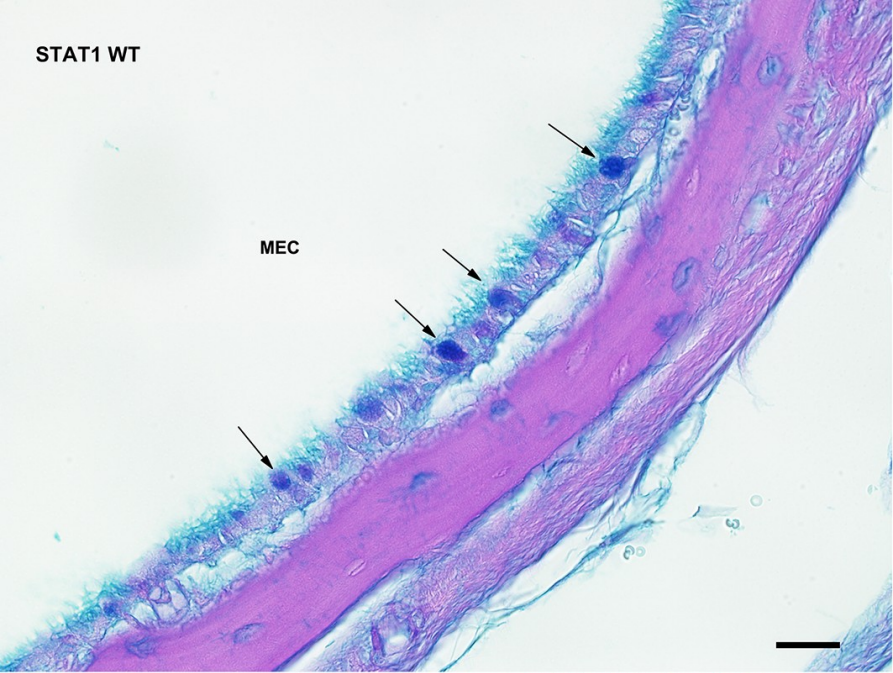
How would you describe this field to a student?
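A single low layer of epithelial cells faces the empty cavity, its free surface fringed with fine blue-green hair-like projections. Among these cells, small rounded goblet cells stand out singly by their dark blue-purple content. Beneath the epithelium lies a thin band of loose connective tissue, and below that a broad, homogeneous magenta band of bone containing scattered cells in small spaces.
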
